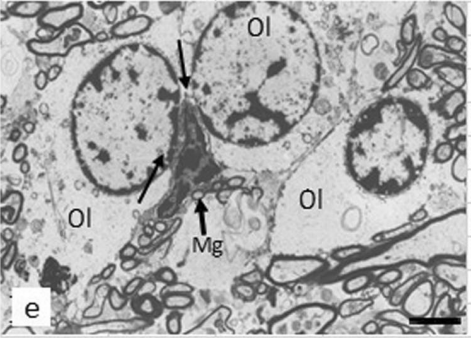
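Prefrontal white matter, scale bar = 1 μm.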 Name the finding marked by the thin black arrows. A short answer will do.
A contact of cytoplasm of microglial cells with the oligodendrocyte nucleus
